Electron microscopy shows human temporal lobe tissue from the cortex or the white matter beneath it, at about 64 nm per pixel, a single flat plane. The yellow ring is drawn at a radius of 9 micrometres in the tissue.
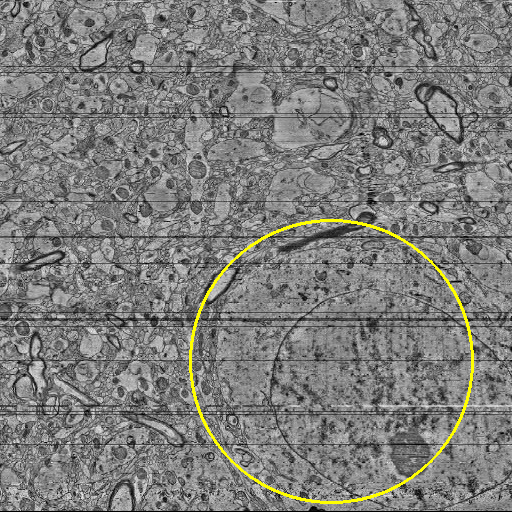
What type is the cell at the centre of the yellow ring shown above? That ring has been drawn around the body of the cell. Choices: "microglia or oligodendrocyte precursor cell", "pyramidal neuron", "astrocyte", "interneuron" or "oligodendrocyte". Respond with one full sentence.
My answer is that a pyramidal neuron lies at the centre of the yellow ring above.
